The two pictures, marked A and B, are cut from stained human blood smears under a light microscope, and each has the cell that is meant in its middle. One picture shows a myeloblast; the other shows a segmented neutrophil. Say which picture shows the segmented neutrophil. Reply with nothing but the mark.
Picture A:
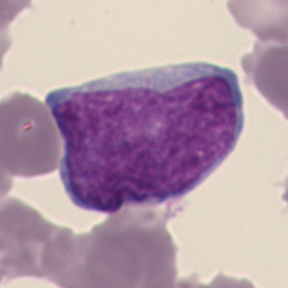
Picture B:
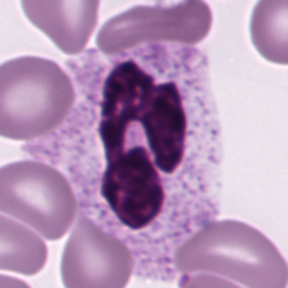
B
